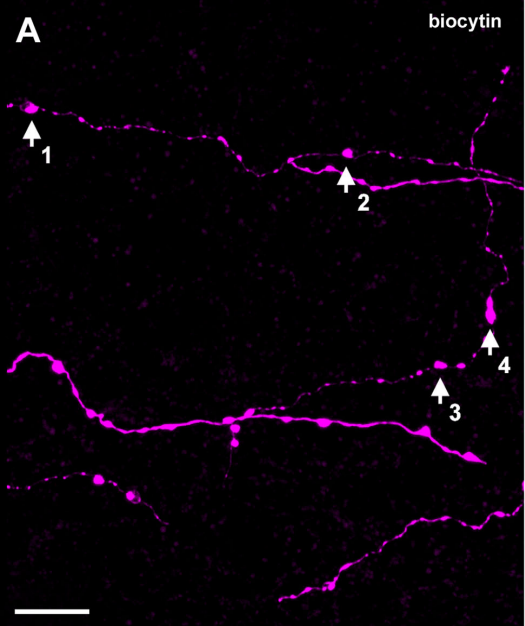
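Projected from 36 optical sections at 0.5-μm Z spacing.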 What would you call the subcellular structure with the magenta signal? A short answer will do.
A: Axon.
